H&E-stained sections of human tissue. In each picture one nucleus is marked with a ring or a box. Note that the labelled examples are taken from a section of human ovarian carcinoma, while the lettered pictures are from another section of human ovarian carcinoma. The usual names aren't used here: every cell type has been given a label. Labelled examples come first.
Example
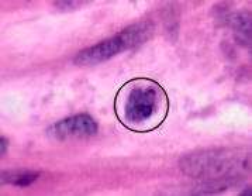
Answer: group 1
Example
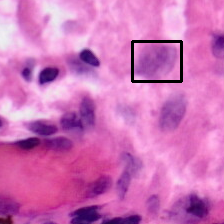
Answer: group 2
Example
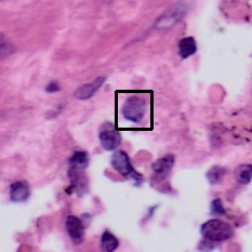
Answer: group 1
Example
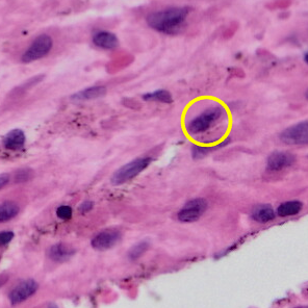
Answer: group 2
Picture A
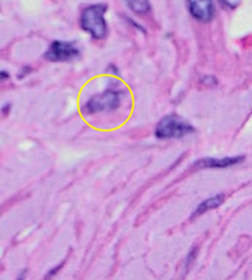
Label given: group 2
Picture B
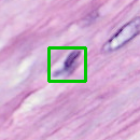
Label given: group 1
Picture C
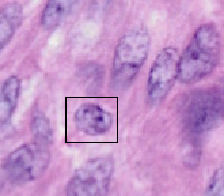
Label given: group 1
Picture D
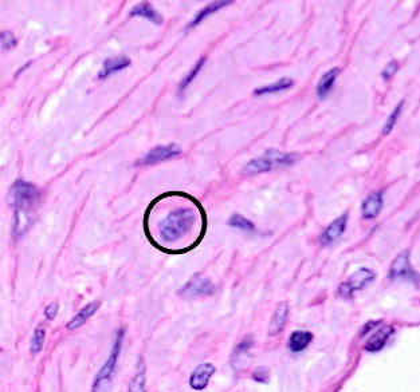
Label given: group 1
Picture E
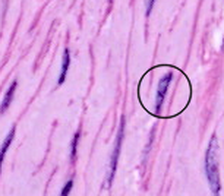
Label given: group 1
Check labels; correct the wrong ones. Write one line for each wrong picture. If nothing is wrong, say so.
E: not group 1 but group 2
